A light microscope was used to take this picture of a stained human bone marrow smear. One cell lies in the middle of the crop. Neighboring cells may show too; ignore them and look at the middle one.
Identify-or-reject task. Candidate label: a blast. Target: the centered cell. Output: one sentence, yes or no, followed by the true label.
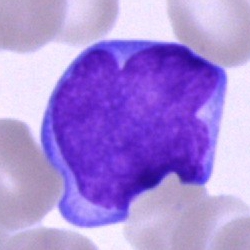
Yes, in the middle of the crop is a blast.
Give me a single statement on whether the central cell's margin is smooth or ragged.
No projections interrupt the outline; it is smooth all the way round.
